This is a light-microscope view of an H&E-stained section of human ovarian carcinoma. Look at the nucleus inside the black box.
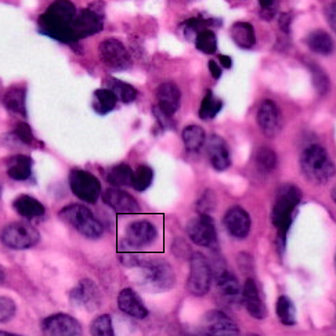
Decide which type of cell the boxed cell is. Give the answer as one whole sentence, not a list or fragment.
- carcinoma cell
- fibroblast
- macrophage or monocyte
In this field of tissue, the boxed cell is a macrophage or monocyte.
